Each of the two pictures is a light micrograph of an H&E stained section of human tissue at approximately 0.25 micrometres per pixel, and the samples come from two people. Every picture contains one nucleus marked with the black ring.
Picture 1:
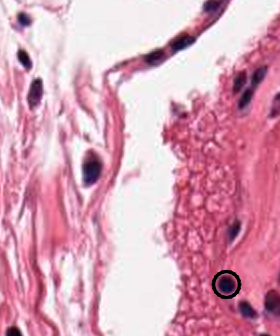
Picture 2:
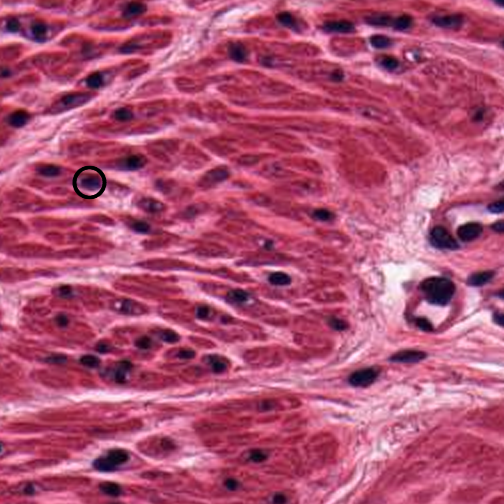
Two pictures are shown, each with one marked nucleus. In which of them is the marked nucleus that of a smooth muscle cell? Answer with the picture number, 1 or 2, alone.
2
